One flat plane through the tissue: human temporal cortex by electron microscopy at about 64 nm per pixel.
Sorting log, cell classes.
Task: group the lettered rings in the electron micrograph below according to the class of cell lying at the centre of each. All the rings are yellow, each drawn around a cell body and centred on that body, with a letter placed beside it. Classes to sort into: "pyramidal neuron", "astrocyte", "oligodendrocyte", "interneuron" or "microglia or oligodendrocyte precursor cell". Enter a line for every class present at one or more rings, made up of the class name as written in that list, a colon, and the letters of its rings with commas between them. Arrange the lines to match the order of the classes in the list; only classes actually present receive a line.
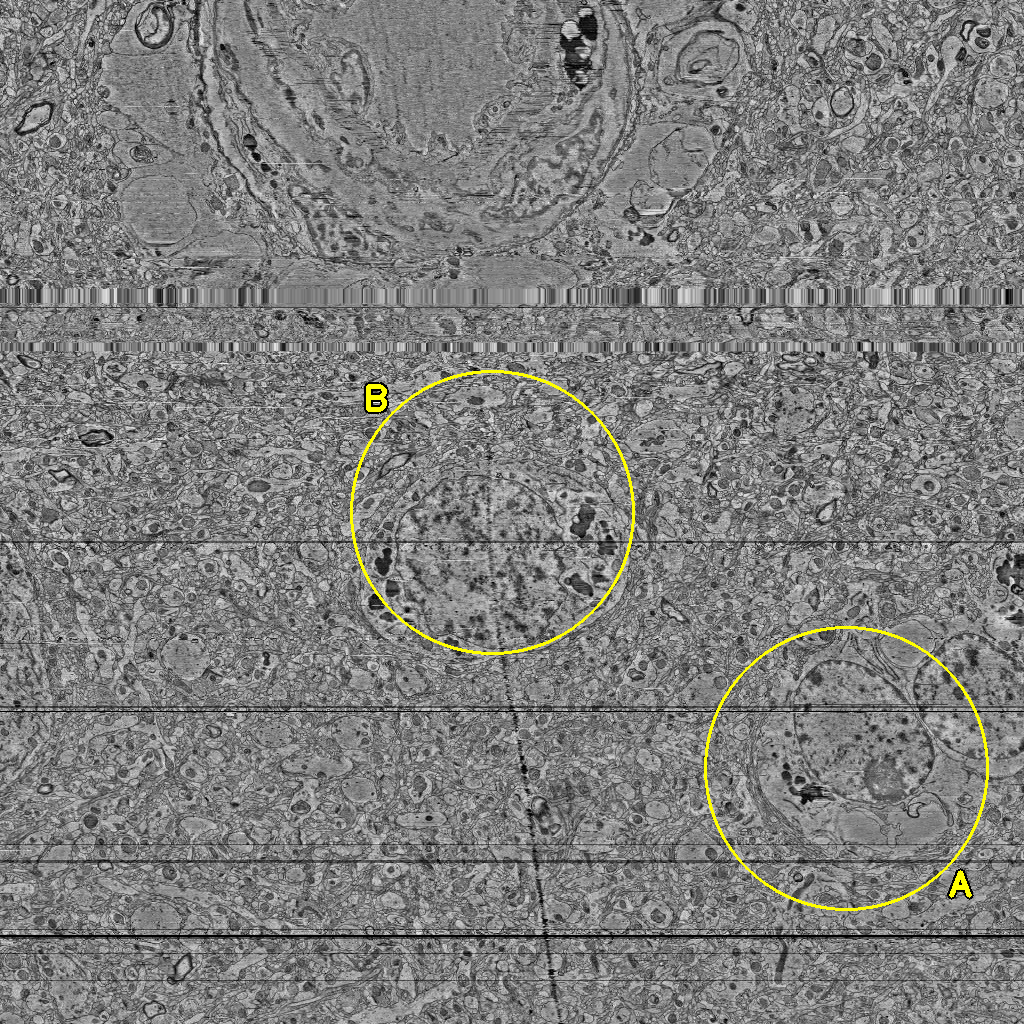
astrocyte: A
interneuron: B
